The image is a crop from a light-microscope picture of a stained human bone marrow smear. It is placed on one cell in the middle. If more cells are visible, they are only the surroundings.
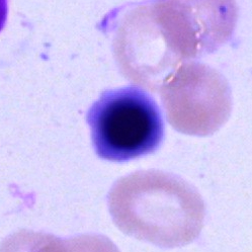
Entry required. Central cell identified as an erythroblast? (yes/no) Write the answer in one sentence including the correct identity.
Yes, an erythroblast is what the central cell is.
